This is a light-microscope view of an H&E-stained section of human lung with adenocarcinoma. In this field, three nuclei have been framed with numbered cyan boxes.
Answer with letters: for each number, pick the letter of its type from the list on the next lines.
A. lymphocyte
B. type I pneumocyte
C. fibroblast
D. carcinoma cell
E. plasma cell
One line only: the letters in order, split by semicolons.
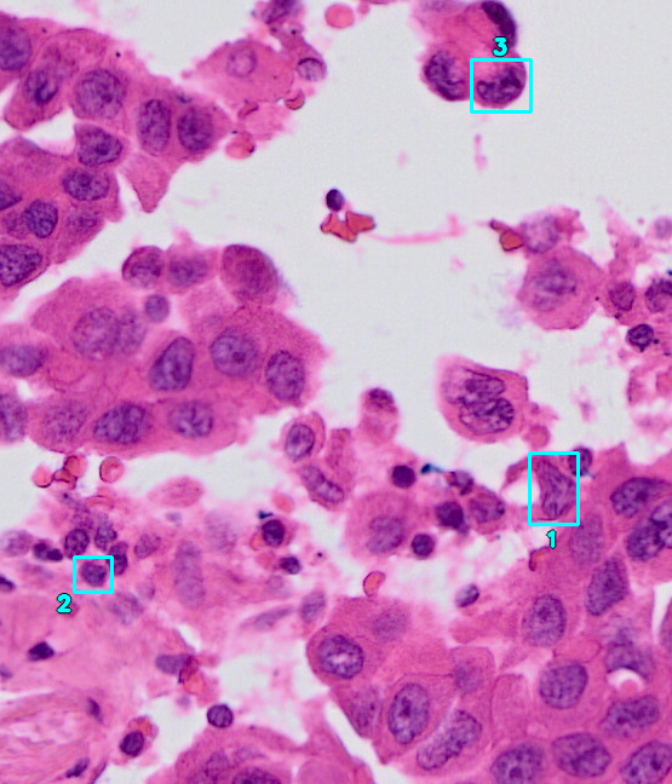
D; A; D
